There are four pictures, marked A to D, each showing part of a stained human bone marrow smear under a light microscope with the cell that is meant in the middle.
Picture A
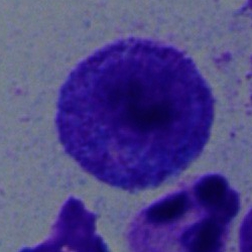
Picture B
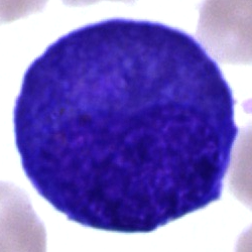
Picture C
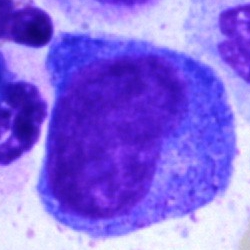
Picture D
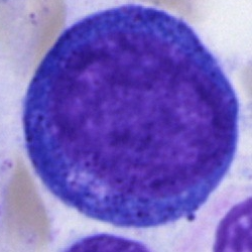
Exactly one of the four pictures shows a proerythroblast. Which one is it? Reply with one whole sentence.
The proerythroblast is the one in picture D.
